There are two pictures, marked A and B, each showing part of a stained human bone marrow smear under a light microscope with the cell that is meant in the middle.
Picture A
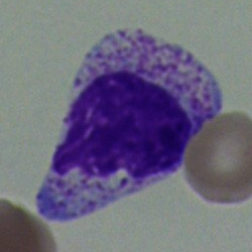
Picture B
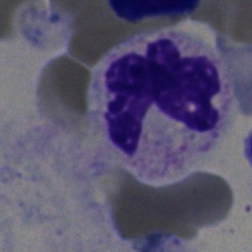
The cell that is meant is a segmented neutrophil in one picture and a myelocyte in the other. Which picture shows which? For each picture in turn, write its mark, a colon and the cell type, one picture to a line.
A: myelocyte
B: segmented neutrophil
